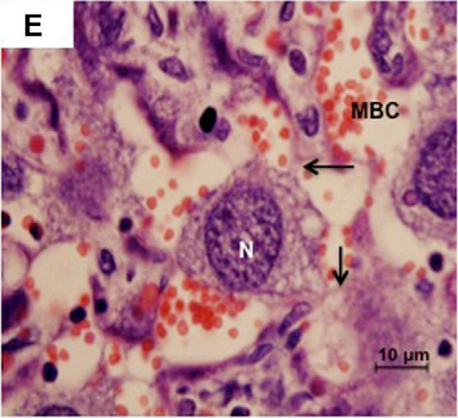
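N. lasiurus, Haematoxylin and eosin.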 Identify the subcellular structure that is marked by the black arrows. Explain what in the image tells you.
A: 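Cytoplasmic projections. Pale, frayed extensions of cytoplasm reach out from the large cell into the surrounding blood space.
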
